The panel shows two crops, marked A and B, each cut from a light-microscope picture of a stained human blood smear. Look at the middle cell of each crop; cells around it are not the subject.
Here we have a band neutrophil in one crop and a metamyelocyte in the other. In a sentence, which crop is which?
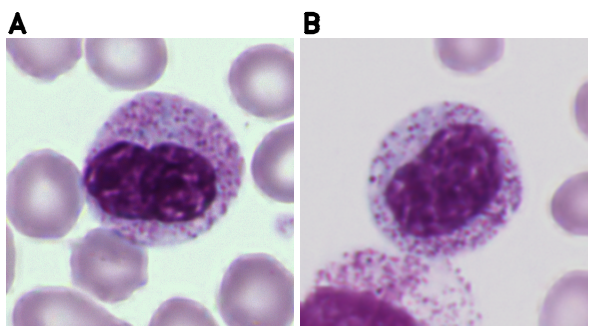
Here crop A is a band neutrophil, and crop B is a metamyelocyte.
